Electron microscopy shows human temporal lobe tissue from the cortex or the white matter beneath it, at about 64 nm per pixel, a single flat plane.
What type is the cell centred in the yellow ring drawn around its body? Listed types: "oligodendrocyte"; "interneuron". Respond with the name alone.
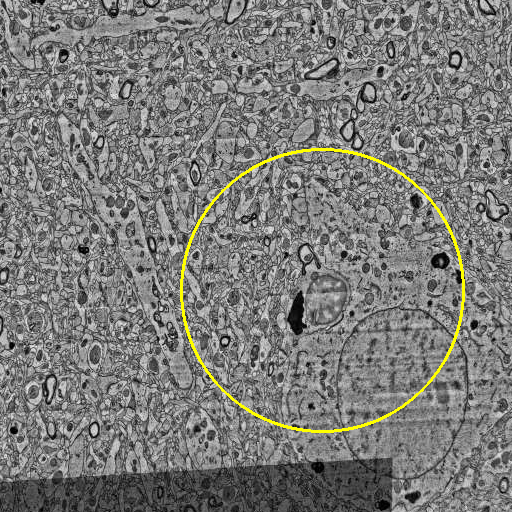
oligodendrocyte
